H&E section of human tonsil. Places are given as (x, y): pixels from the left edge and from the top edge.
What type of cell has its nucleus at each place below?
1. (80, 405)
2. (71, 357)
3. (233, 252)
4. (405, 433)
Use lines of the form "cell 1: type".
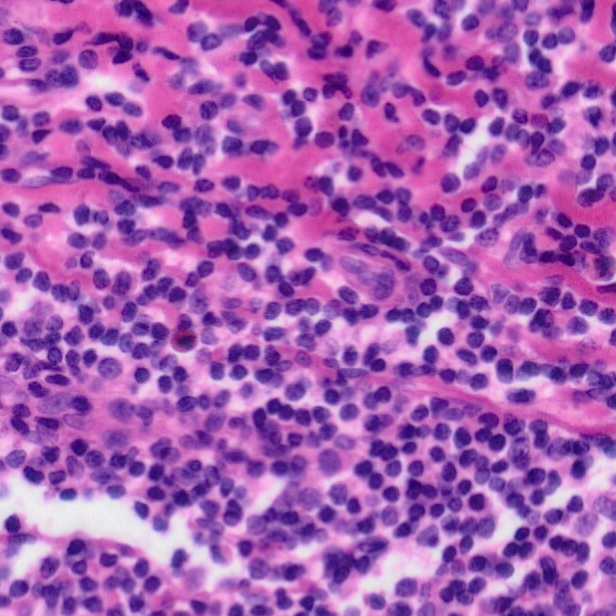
cell 1: endothelial cell
cell 2: small lymphocyte
cell 3: small lymphocyte
cell 4: small lymphocyte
